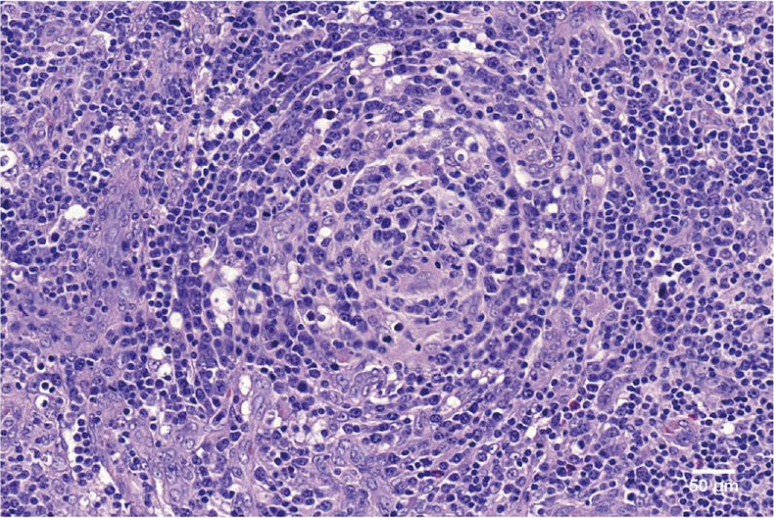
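This is lymph node tissue with a follicle whose germinal center is small and atrophic, surrounded by a broad mantle of small lymphocytes arranged in concentric, onion-skin-like layers. The center holds a few larger cells with paler, more open nuclei and pink cytoplasm. Around the follicle the tissue is crowded with small round cells with dark purple nuclei, mixed with cells having more abundant cytoplasm, pink-staining vascular strands and scattered clear spaces.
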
